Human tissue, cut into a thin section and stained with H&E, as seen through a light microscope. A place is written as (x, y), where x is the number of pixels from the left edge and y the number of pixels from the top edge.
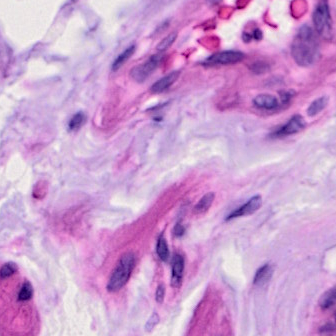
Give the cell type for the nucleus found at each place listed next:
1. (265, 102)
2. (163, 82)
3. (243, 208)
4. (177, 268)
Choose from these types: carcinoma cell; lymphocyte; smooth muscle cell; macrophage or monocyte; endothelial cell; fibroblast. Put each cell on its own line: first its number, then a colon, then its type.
1: endothelial cell
2: endothelial cell
3: fibroblast
4: endothelial cell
